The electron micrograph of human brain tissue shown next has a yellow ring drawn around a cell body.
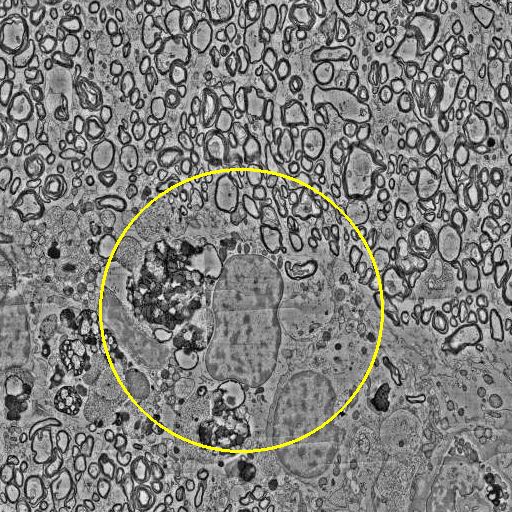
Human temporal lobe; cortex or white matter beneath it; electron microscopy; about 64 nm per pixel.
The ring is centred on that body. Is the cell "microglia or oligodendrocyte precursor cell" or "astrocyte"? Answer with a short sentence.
The cell in question is a microglial cell or oligodendrocyte precursor cell.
